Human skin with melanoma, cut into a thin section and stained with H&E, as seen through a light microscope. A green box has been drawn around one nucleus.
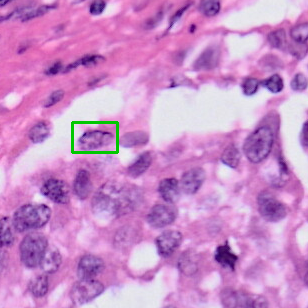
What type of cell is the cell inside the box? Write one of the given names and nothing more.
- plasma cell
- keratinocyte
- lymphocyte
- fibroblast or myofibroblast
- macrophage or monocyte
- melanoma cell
macrophage or monocyte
